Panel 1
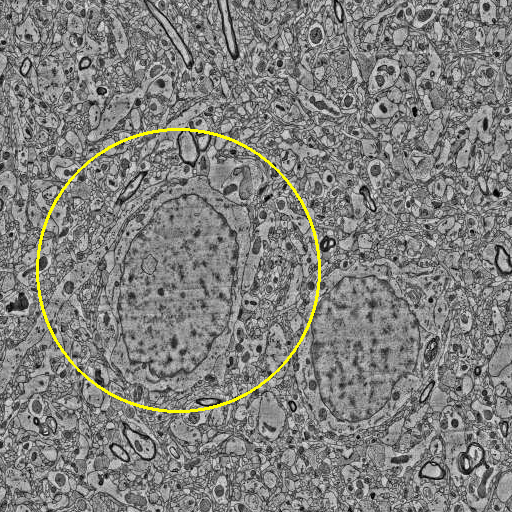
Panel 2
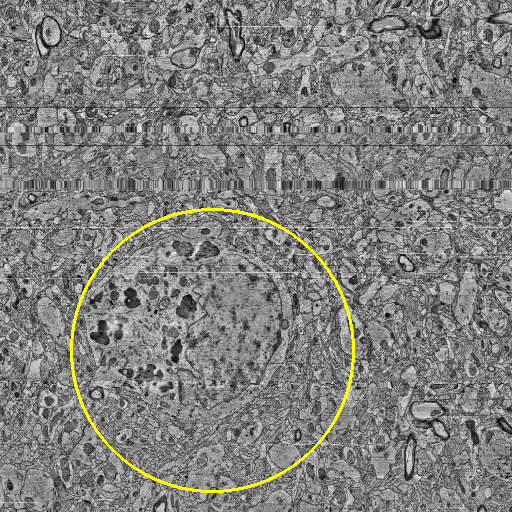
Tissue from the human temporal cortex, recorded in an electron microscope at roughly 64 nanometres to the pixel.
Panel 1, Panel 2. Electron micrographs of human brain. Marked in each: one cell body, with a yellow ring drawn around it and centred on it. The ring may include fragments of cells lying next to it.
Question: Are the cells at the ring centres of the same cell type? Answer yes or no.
yes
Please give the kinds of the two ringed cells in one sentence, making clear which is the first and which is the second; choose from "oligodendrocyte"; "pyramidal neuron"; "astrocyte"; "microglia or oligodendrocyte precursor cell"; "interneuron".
Both cells are the same kind, each one being an interneuron.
